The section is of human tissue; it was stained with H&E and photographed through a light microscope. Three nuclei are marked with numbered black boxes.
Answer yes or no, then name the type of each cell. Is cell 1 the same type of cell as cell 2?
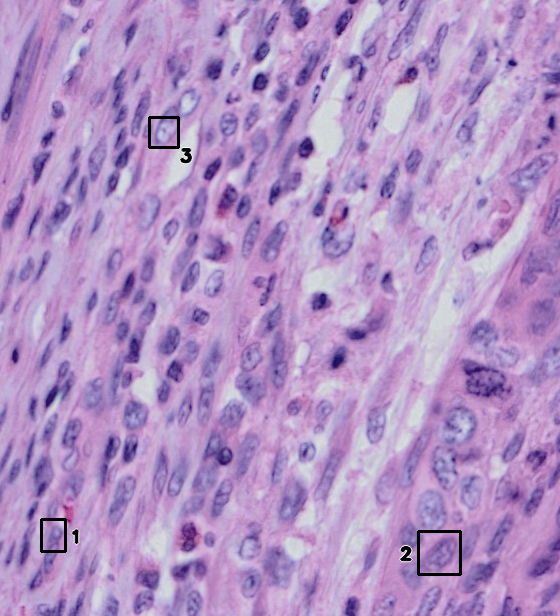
No, in contrast to cell 2, which is a squamous carcinoma cell, cell 1 is an endothelial cell.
